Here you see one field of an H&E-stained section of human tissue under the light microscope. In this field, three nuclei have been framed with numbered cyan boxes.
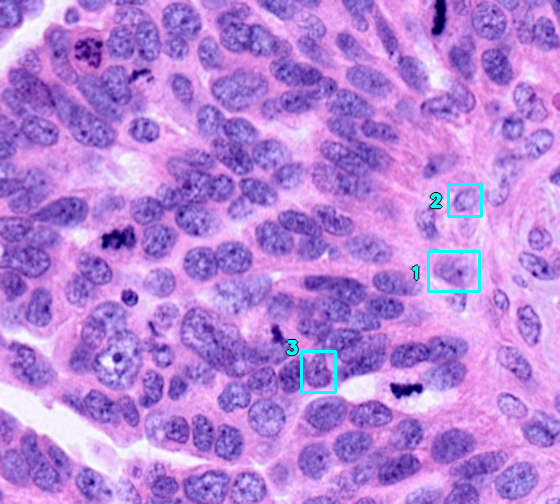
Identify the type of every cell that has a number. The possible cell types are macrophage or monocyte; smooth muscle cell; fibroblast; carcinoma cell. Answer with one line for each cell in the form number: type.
1: fibroblast
2: fibroblast
3: carcinoma cell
